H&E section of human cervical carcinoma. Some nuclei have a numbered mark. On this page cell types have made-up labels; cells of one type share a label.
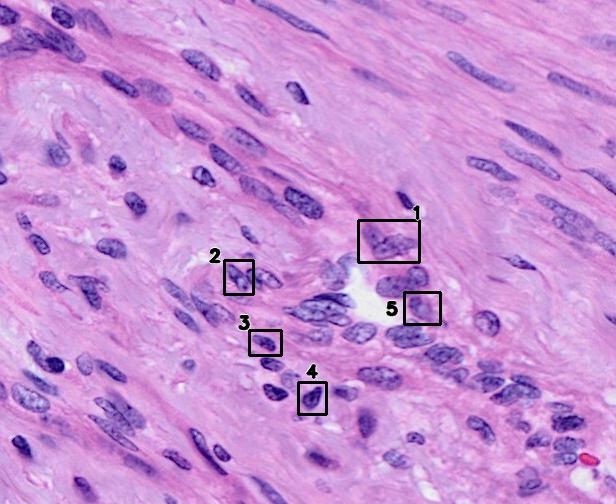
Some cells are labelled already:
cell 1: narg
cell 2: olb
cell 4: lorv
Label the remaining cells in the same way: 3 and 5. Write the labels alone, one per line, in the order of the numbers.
lorv
narg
